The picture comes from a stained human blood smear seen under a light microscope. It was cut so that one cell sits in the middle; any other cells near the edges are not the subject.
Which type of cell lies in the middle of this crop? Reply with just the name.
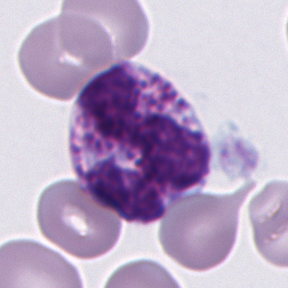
basophil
